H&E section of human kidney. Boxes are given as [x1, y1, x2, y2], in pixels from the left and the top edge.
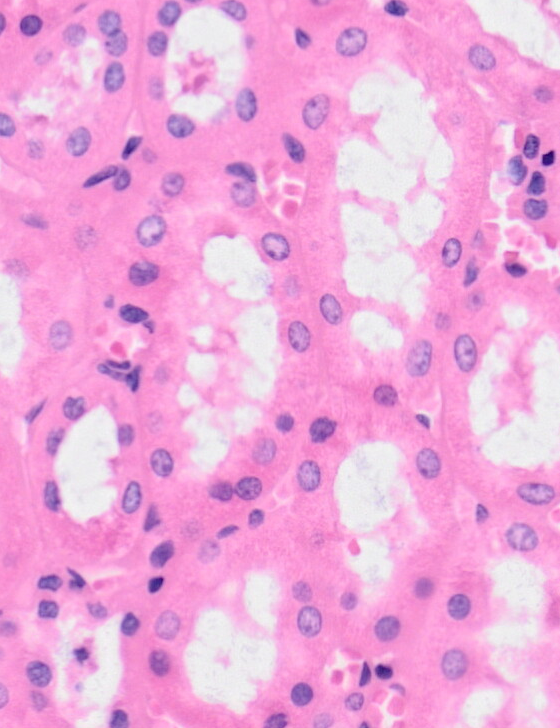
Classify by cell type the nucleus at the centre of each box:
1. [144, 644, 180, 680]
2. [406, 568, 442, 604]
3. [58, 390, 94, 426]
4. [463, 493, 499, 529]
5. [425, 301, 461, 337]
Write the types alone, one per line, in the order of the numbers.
proximal tubule cell
proximal tubule cell
loop of Henle or distal tubule cell
endothelial cell
proximal tubule cell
